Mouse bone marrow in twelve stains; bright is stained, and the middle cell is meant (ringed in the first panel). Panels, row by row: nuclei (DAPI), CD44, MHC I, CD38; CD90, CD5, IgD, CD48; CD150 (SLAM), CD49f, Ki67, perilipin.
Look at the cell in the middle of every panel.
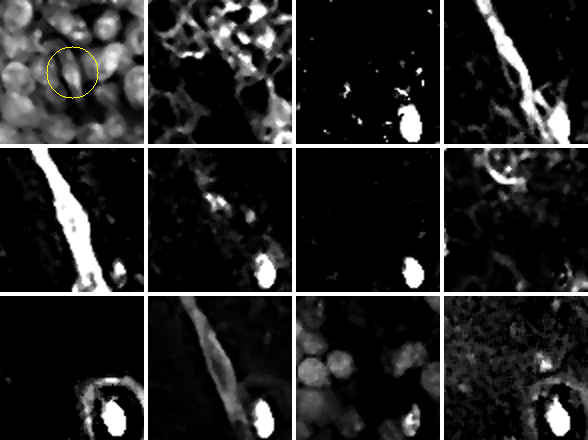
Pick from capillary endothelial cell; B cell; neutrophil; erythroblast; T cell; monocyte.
capillary endothelial cell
